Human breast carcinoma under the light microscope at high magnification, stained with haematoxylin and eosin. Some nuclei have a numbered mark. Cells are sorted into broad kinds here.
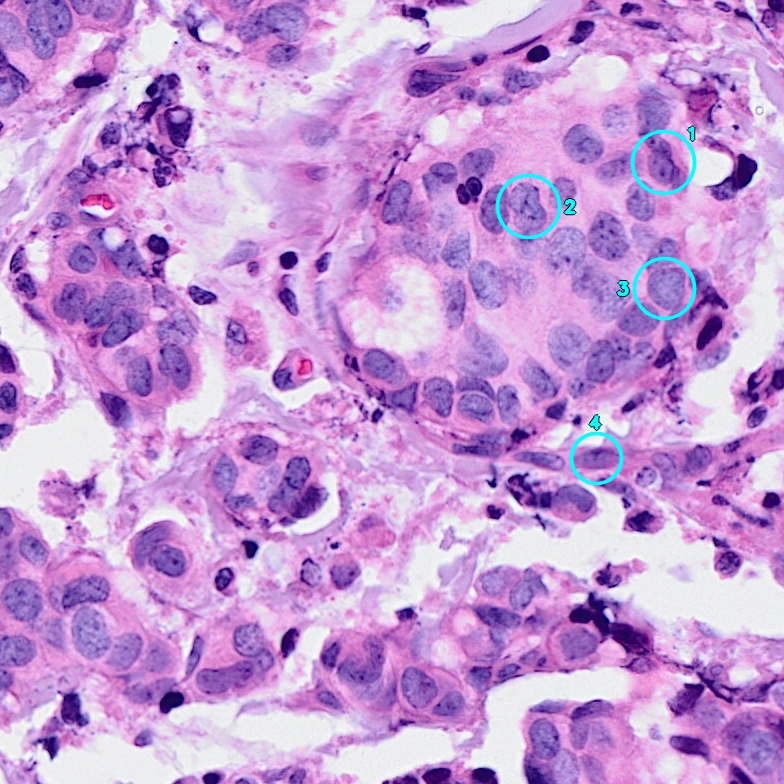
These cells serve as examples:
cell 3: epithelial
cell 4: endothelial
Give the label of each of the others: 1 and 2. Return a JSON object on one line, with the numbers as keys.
{"1": "epithelial", "2": "epithelial"}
